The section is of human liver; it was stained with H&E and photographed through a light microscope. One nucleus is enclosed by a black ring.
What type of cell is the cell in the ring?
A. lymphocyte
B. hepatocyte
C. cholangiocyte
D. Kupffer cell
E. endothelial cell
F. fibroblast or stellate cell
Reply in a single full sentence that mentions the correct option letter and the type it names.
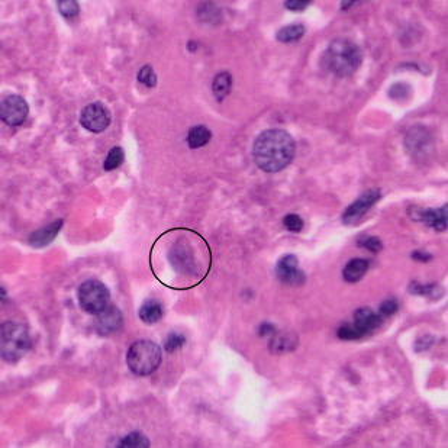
Of the options given, E is right: the cell in the ring is an endothelial cell.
